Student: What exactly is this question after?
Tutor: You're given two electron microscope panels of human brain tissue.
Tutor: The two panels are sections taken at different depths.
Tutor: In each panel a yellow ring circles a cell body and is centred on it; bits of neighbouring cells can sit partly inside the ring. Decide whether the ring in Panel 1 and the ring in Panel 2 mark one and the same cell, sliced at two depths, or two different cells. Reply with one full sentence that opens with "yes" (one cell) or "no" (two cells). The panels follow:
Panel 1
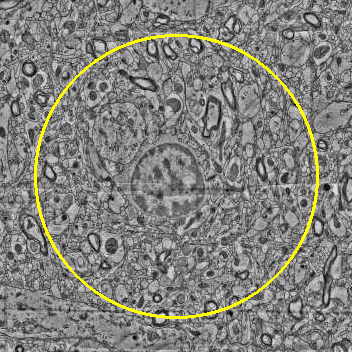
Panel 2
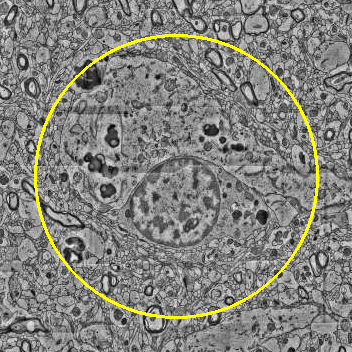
Yes, the two marked outlines come from one and the same cell.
